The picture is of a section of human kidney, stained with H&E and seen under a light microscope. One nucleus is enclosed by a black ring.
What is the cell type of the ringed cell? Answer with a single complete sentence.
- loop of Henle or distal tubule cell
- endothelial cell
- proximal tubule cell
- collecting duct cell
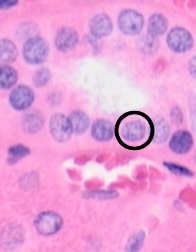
The cell meant here is a collecting duct cell.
